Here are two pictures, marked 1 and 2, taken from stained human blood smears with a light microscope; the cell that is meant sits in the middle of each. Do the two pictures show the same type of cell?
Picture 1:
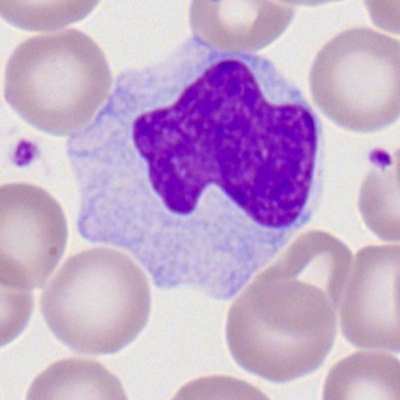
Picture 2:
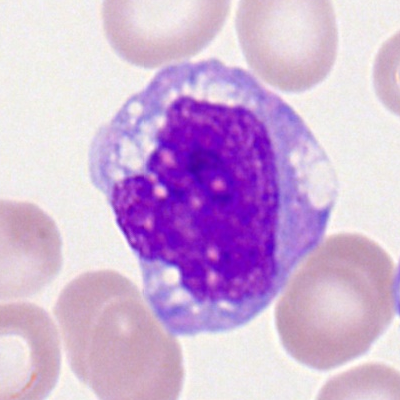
yes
